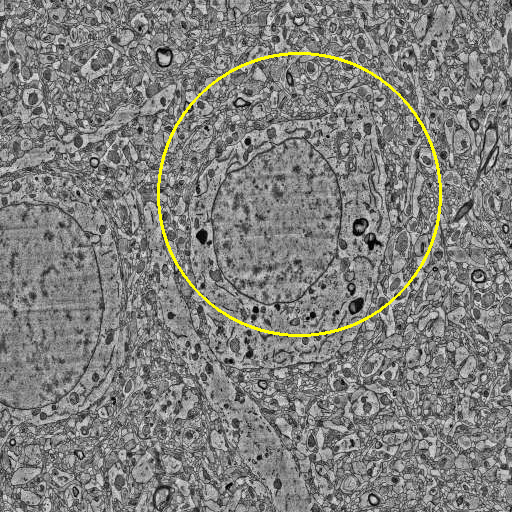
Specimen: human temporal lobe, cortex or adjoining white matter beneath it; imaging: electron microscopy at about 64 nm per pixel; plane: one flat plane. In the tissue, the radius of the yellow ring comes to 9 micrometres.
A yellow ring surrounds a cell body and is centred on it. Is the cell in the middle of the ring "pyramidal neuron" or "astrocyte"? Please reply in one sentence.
The ring is centred on a pyramidal neuron.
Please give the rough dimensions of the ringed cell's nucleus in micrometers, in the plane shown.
About 11 by 9 micrometers for the nucleus, in this plane.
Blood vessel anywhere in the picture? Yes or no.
No, no blood vessel can be seen.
